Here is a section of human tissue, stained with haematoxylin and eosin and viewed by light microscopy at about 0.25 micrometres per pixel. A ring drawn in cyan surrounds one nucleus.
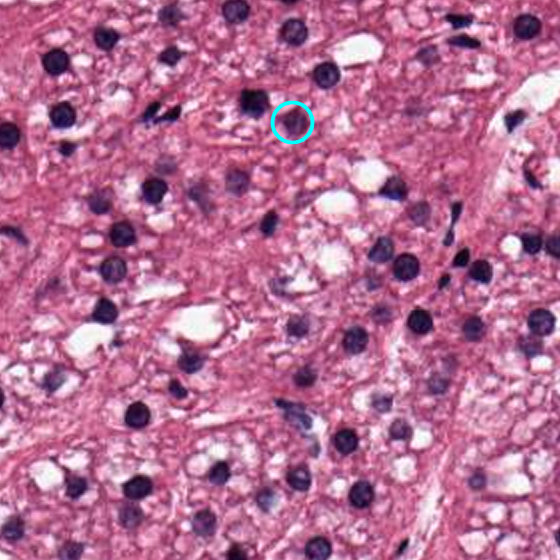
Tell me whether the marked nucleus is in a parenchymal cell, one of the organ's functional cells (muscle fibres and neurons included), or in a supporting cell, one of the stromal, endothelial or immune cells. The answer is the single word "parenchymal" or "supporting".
parenchymal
